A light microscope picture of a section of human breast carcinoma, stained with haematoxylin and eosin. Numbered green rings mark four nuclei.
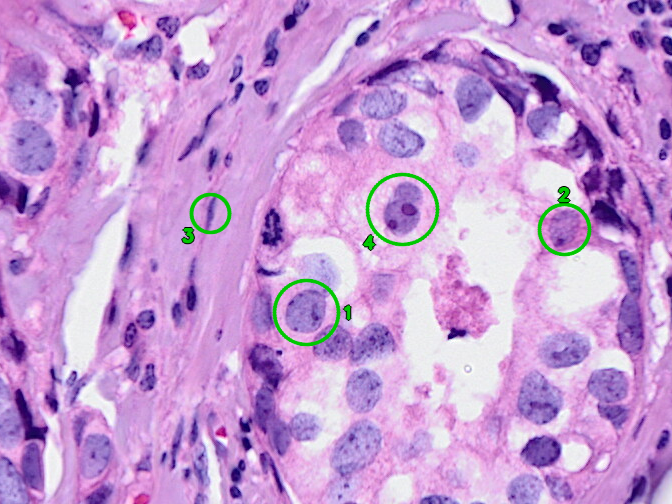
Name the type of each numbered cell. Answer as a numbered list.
1. carcinoma cell
2. carcinoma cell
3. fibroblast
4. carcinoma cell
